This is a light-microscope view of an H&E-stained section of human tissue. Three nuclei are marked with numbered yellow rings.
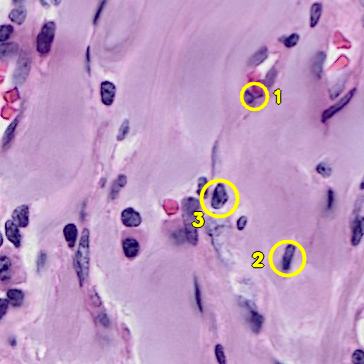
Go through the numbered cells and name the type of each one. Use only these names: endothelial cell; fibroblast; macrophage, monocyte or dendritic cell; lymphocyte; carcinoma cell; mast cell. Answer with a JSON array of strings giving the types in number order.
["endothelial cell", "lymphocyte", "lymphocyte"]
